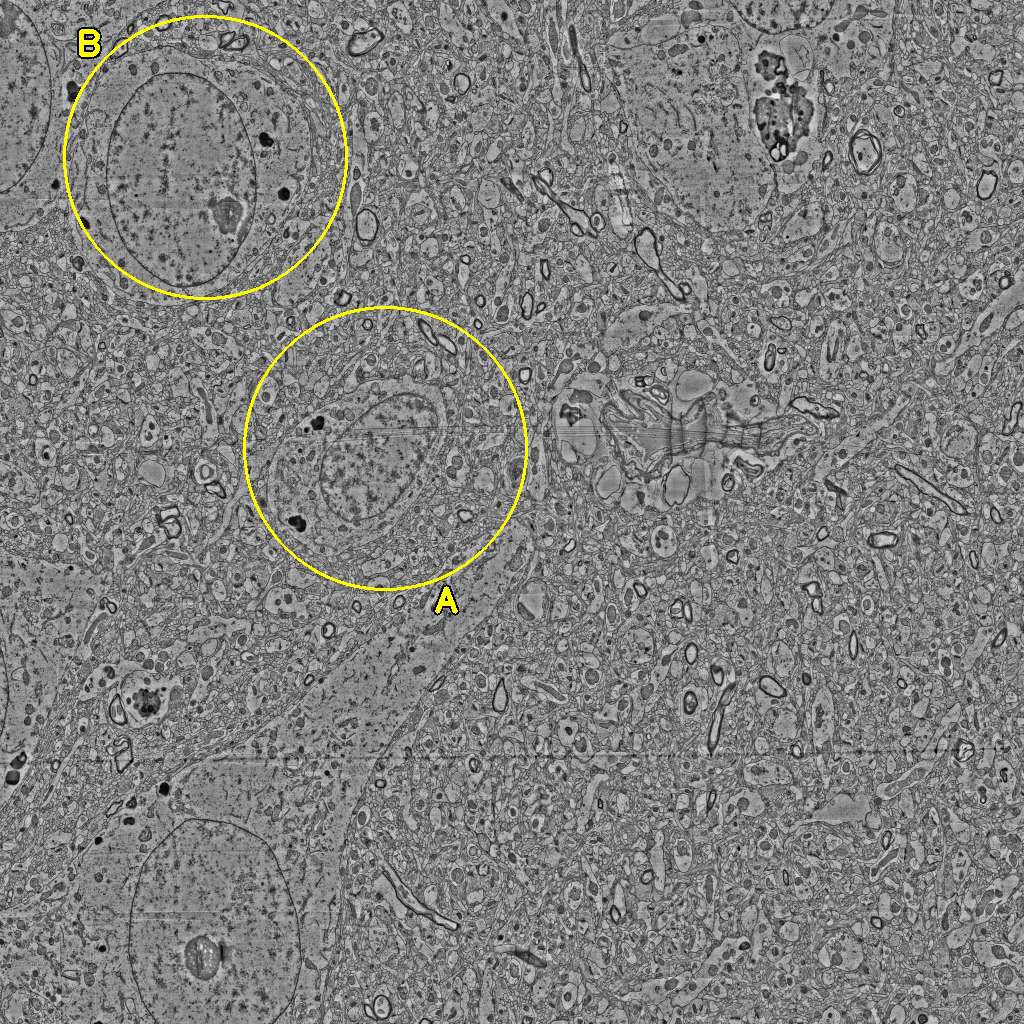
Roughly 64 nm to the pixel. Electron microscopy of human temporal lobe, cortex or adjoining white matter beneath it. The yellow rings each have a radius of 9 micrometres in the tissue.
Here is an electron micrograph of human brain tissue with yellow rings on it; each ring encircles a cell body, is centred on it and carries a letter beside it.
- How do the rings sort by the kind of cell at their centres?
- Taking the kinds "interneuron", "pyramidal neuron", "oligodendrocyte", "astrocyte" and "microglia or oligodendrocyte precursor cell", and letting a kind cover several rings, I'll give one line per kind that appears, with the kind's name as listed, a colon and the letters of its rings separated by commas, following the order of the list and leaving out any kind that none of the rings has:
interneuron: A
pyramidal neuron: B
